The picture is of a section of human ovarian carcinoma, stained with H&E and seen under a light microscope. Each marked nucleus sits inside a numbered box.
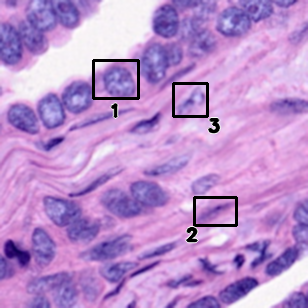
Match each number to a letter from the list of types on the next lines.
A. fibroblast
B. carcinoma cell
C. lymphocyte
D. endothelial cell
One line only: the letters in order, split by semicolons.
B; A; A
